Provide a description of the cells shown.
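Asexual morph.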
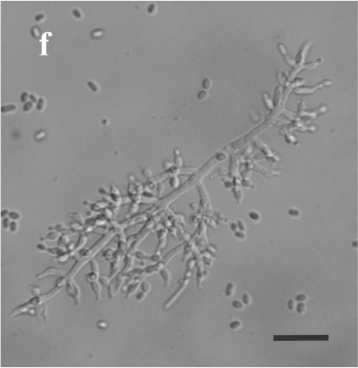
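A single fungal branching structure lies across the field: a straight central hypha gives off numerous short side branches along its length, and these branch again into small clusters. The ultimate branches end in short, swollen, flask-like cells, often in groups at the branch tips. Small smooth oval spores are scattered loosely in the mounting medium around the structure, some still near the tips. The whole arrangement, a branched spore-bearing hypha ending in flask-shaped spore-producing cells, is a conidiophore with its phialides, with the released conidia lying around it.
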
